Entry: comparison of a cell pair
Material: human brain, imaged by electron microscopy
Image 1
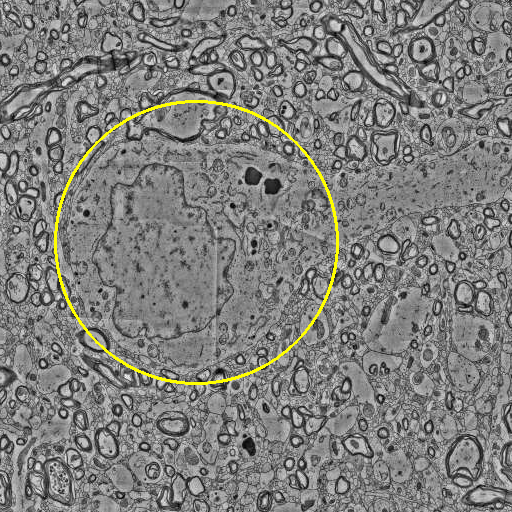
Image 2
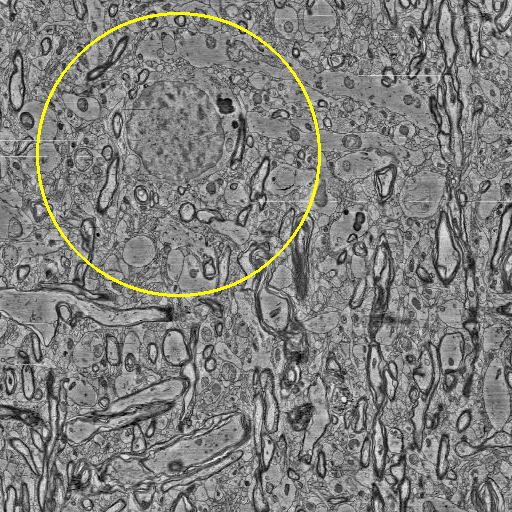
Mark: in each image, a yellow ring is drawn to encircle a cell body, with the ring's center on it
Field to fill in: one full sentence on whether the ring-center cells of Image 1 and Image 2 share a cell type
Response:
No, Image 1 and Image 2 show ring-center cells of two separate types.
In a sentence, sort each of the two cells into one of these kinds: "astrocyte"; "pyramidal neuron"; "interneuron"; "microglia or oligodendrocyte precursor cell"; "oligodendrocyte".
The first of the two cells is a pyramidal neuron, and the second is an oligodendrocyte.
